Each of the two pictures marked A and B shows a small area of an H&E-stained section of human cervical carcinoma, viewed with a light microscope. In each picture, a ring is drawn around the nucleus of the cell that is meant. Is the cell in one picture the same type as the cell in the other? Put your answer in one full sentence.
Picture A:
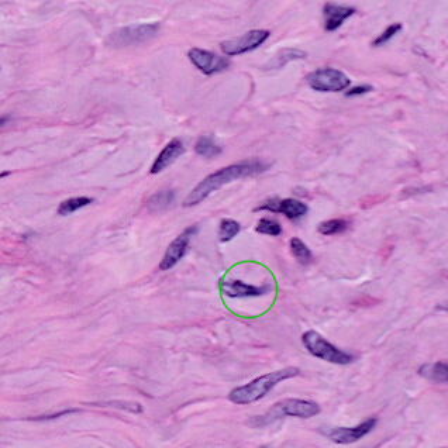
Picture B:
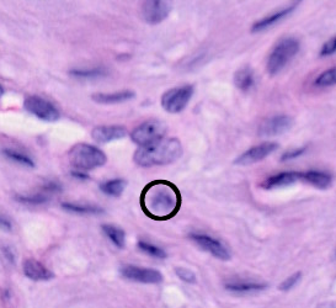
Yes, they are the same type: both are fibroblasts.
